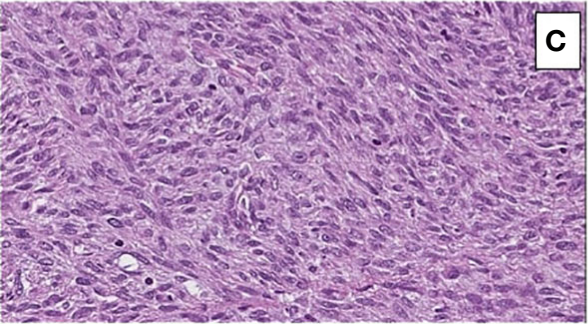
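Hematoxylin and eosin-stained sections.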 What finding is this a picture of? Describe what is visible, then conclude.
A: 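Nuclei vary in size and shape, some enlarged and irregular.
Answer: Nuclear atypia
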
